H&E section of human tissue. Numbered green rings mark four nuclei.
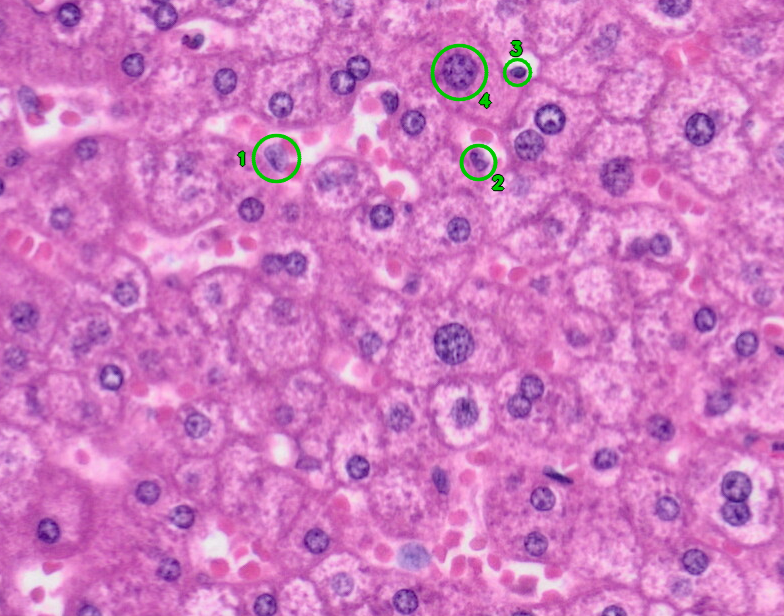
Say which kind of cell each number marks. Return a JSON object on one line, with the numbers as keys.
{"1": "endothelial cell", "2": "Kupffer cell", "3": "lymphocyte", "4": "hepatocyte"}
